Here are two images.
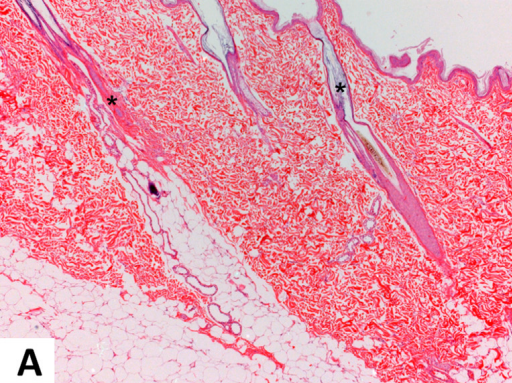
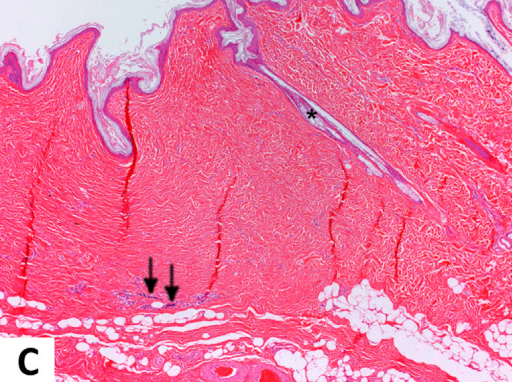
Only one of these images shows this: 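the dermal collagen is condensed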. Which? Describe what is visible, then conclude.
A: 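Second image: the dermis is a dense, smooth, compact pink band with few spaces. First image: the dermis consists of loosely arranged collagen bundles with many clear gaps. The answer: the second image.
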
